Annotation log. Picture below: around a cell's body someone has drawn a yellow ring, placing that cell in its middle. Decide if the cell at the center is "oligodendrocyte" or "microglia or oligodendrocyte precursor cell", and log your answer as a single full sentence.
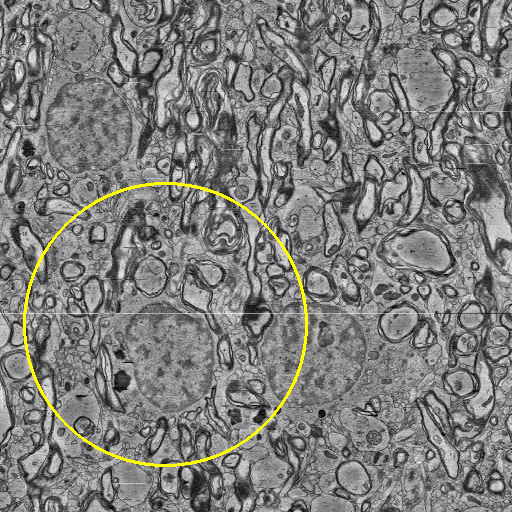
My entry records an oligodendrocyte as the cell sitting at the center of the yellow ring.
